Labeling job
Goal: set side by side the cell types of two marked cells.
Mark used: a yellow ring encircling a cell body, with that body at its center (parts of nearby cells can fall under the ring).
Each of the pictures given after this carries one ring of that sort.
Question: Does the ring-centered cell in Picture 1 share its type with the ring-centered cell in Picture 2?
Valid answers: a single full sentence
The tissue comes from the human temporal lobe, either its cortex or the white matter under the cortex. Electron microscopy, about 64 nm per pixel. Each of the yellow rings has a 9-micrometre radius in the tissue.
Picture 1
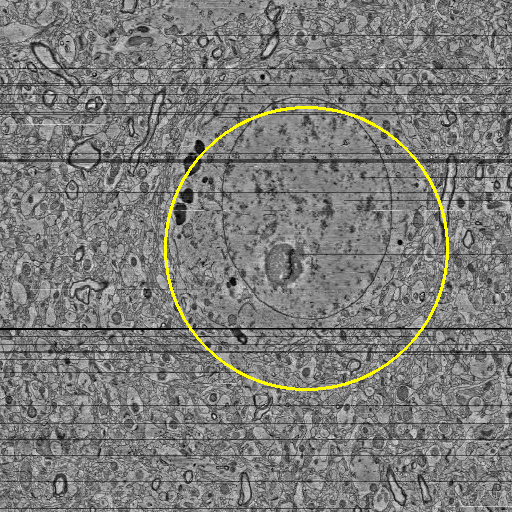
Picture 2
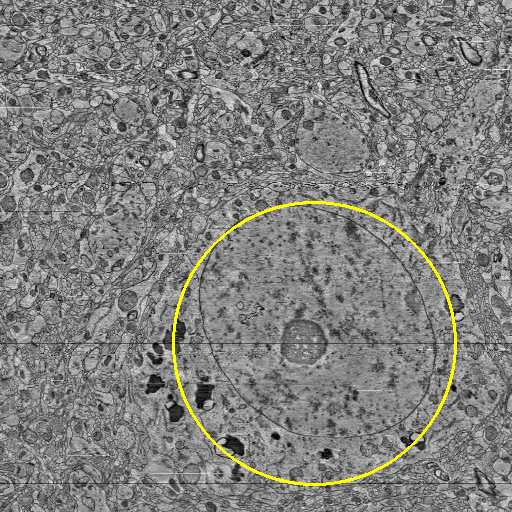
Yes, in Pictures 1 and 2 the cells at the ring centers share one type.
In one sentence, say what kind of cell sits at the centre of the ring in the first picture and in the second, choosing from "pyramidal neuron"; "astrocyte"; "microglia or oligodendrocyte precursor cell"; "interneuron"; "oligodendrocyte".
The first and the second cell are each a pyramidal neuron.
